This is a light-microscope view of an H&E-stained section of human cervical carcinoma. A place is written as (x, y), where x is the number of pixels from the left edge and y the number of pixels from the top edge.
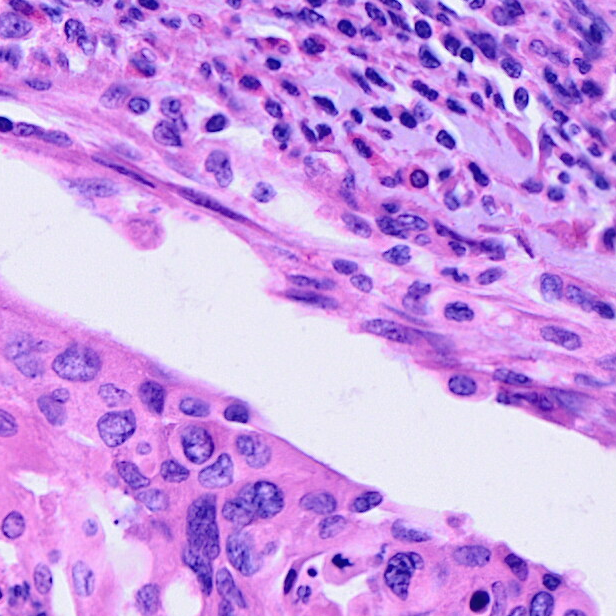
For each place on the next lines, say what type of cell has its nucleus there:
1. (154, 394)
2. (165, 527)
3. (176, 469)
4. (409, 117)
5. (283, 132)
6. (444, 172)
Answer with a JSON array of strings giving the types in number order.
["squamous carcinoma cell", "squamous carcinoma cell", "squamous carcinoma cell", "lymphocyte", "lymphocyte", "lymphocyte"]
